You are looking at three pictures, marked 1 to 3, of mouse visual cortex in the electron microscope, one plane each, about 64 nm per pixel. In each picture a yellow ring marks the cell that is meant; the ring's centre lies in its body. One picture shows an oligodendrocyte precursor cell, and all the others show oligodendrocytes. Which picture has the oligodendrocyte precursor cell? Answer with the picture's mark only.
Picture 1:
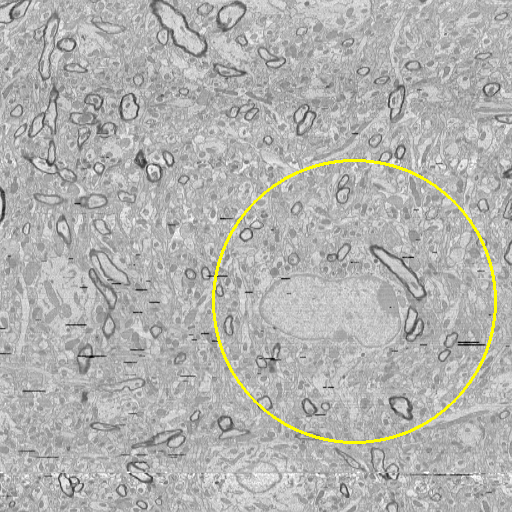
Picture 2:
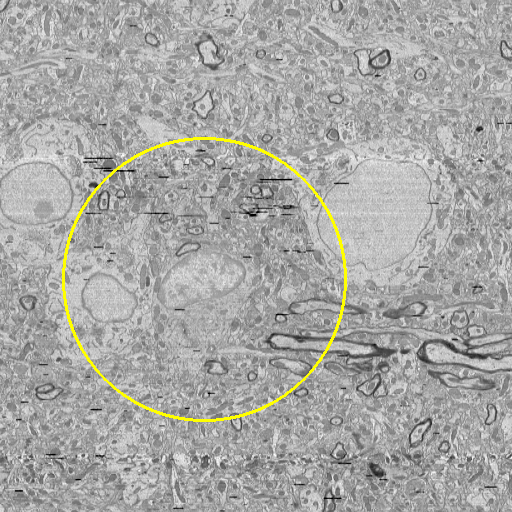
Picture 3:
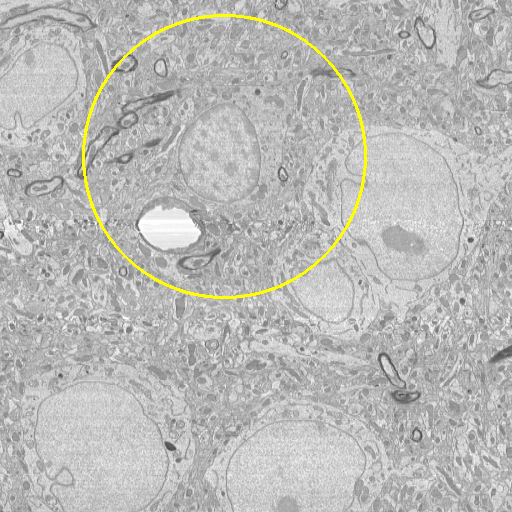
1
